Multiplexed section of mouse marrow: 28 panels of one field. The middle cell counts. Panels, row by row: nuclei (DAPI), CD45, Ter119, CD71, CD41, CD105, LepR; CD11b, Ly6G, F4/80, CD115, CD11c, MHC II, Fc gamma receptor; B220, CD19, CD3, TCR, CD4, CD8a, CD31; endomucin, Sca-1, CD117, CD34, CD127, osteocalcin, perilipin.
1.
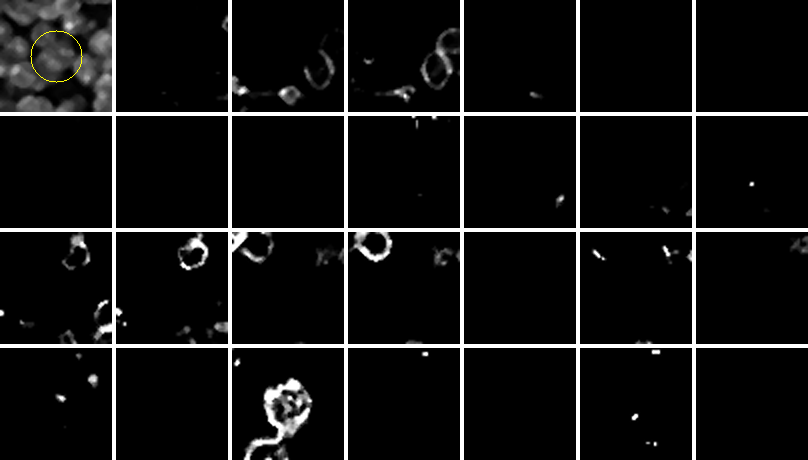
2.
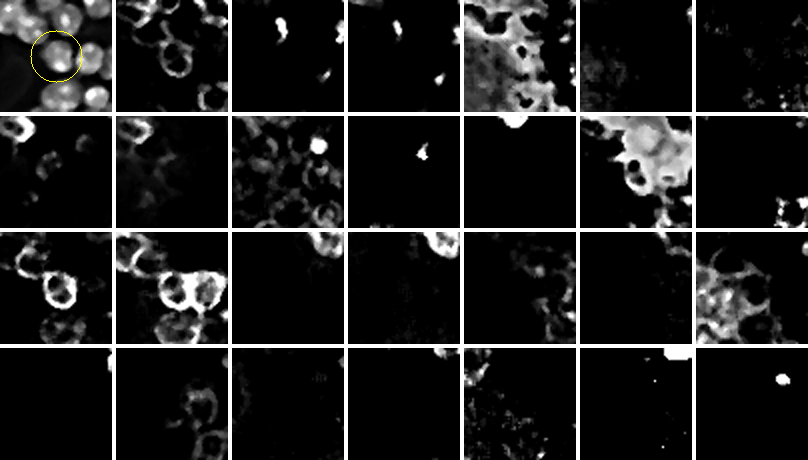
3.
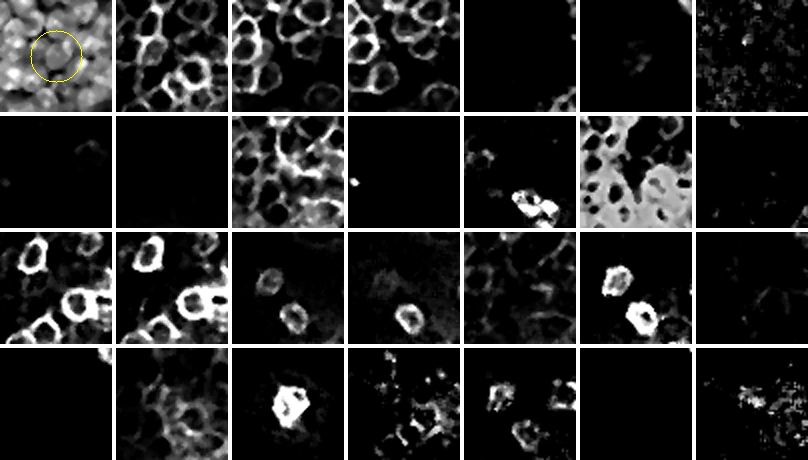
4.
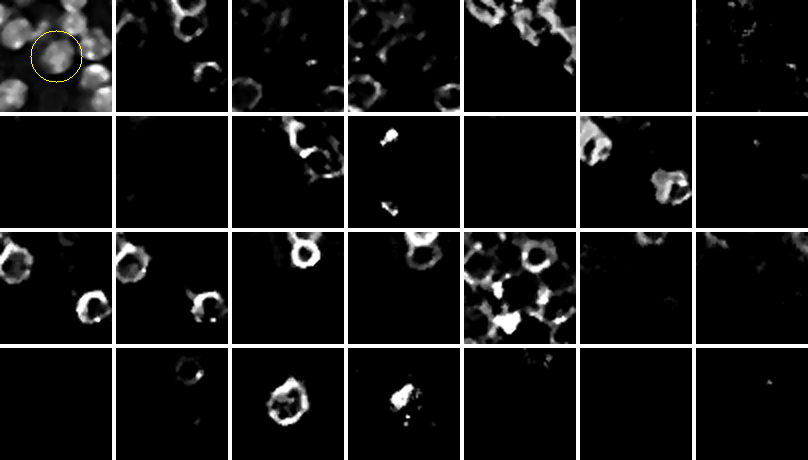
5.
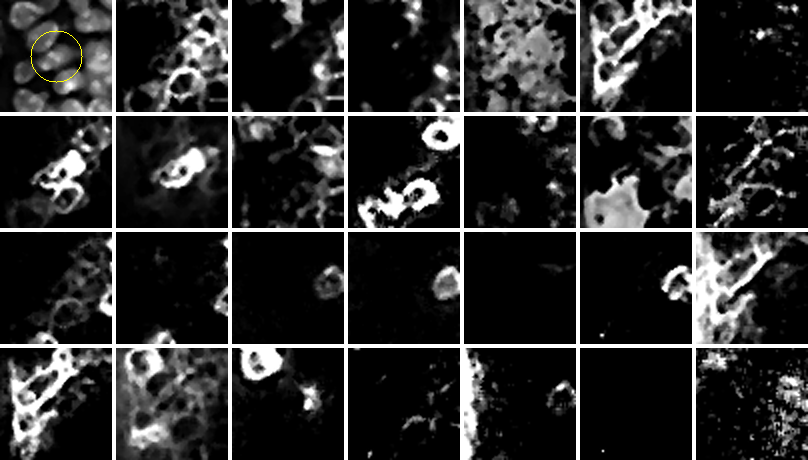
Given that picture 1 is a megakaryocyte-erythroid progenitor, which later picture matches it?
3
